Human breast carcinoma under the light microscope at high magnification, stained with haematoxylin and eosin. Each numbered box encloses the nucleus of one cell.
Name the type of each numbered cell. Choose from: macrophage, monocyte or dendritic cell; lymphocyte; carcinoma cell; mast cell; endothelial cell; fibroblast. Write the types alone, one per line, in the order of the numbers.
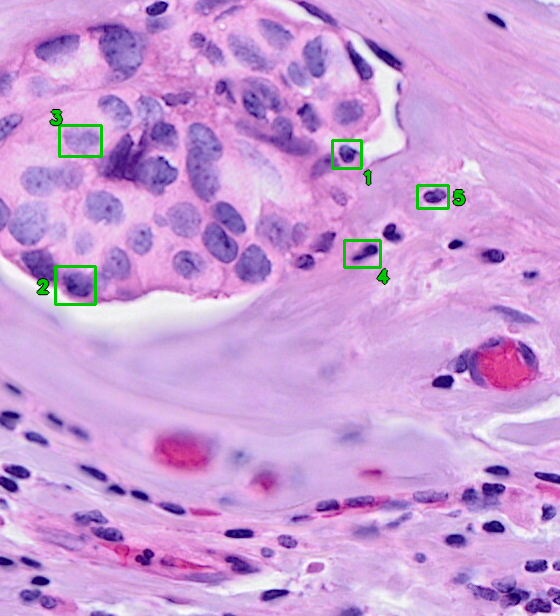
lymphocyte
carcinoma cell
carcinoma cell
lymphocyte
lymphocyte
